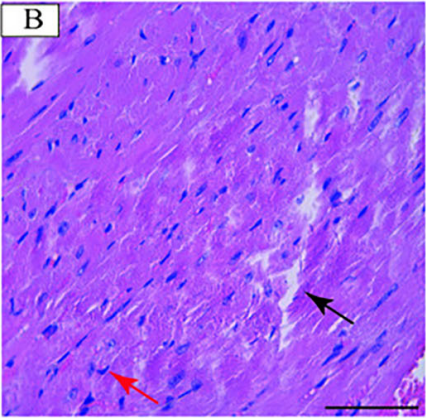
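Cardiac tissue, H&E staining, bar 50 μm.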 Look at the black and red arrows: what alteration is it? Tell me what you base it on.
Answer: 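Pale, cleft-like empty spaces lie between the fibres near the black arrow.
Hence: cardiomyocytes’ derangement distribution.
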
